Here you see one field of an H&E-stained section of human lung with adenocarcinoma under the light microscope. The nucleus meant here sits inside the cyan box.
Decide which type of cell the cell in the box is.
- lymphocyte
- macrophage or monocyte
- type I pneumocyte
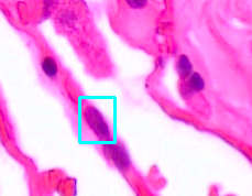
type I pneumocyte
